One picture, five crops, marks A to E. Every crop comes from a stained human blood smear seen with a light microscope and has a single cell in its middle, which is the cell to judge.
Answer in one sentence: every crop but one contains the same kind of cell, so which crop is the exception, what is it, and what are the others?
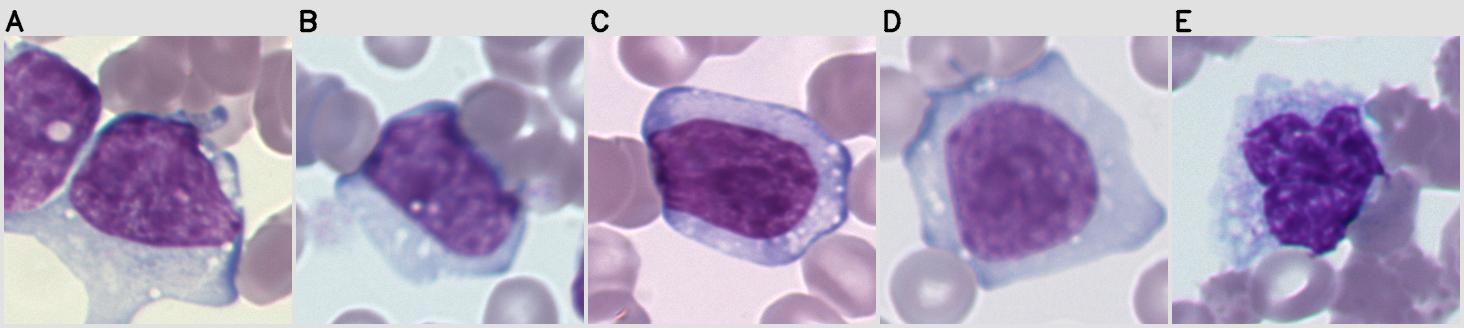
Crop E is the one to flag: it is a monocyte, and the rest show blasts.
